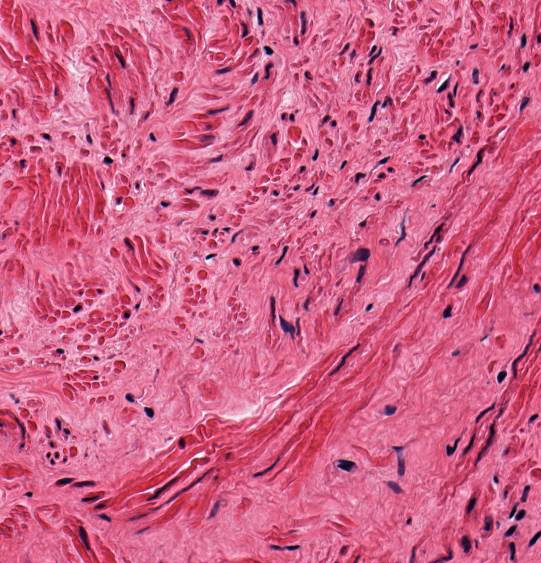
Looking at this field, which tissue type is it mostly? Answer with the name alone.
fibromuscular stroma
